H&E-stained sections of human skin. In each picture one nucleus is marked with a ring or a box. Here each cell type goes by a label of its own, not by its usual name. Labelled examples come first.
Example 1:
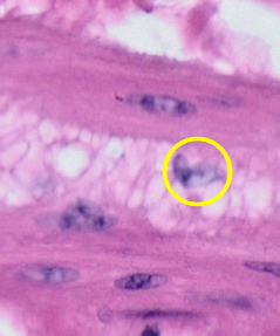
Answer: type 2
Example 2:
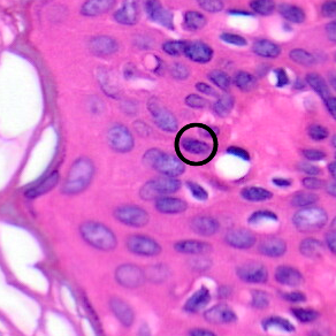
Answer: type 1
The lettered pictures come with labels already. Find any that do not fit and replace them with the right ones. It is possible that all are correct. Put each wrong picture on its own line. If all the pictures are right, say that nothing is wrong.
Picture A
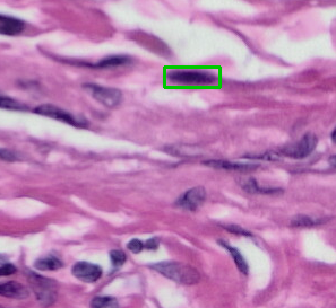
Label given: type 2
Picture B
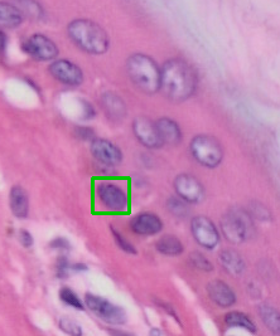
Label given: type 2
B: type 1, not type 2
